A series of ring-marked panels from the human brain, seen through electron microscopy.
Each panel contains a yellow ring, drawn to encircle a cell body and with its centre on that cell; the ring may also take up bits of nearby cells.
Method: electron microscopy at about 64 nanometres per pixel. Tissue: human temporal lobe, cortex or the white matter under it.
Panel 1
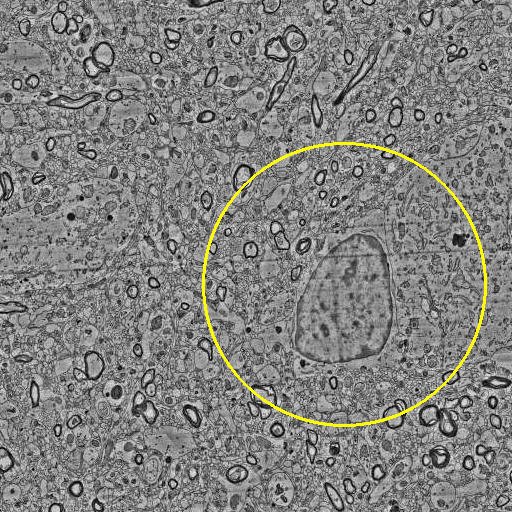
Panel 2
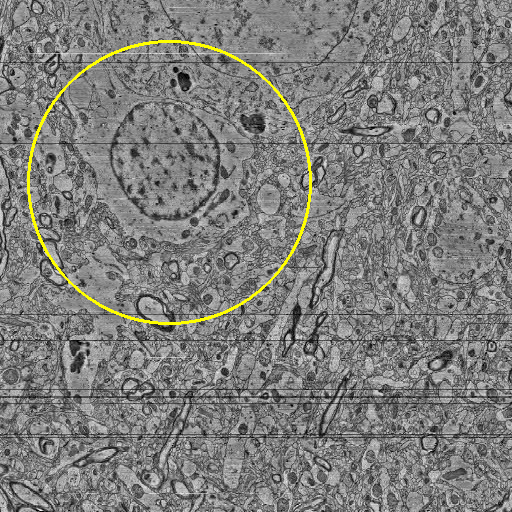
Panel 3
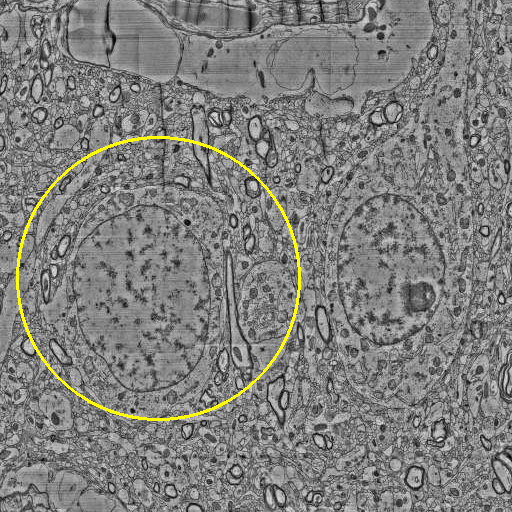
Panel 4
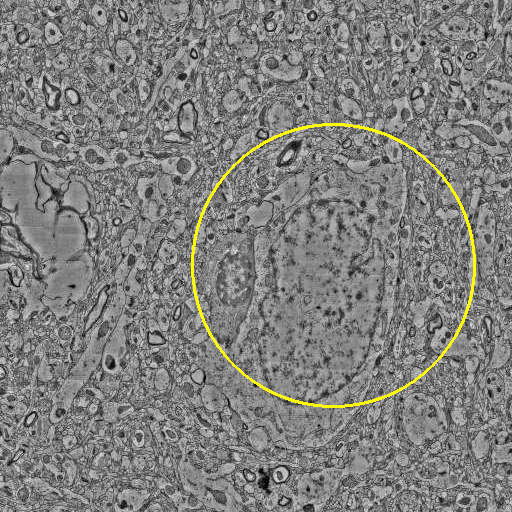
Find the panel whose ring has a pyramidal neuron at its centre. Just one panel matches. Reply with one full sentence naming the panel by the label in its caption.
The sought cell lies at the centre of the ring shown in Panel 3.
